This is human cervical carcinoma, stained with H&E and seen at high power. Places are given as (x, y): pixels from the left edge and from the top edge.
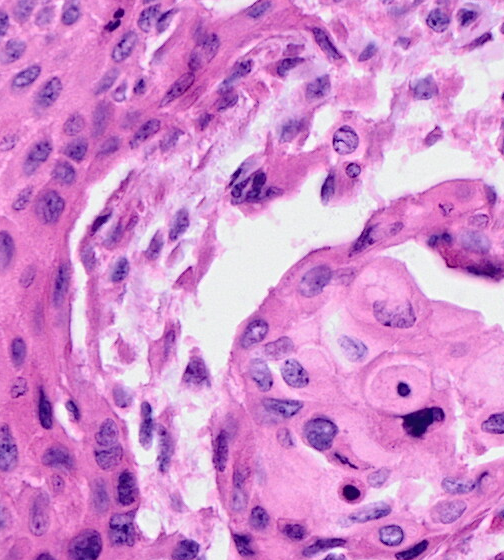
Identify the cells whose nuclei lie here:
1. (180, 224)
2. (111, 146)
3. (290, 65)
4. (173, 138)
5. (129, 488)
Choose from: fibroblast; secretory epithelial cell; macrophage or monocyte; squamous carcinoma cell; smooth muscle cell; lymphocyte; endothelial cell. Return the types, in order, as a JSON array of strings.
["fibroblast", "squamous carcinoma cell", "fibroblast", "fibroblast", "squamous carcinoma cell"]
